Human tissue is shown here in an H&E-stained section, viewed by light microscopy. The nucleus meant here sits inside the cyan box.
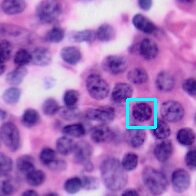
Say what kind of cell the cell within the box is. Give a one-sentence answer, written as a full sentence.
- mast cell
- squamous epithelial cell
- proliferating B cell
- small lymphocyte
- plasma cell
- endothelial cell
The category to which the cell within the box belongs is that of a plasma cell.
